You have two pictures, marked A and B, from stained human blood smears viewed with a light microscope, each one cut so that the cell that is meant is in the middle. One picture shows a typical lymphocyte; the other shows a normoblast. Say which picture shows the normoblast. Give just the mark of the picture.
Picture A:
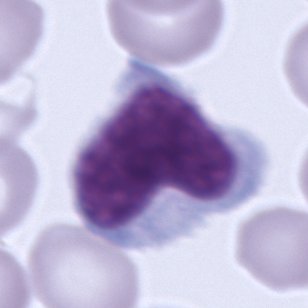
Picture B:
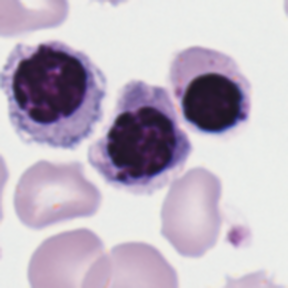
B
